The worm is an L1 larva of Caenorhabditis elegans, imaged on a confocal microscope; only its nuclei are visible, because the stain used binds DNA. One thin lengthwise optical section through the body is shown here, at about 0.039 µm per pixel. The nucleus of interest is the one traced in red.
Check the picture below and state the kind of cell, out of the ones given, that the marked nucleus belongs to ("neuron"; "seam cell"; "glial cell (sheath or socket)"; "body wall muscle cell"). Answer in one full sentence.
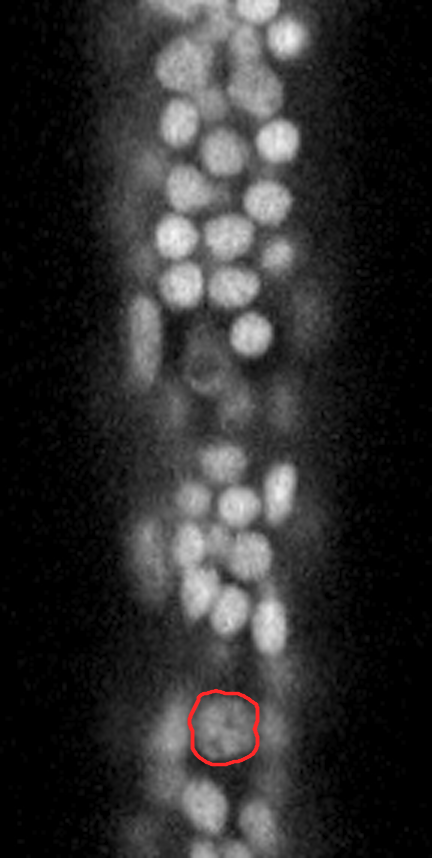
This is the nucleus of a seam cell.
